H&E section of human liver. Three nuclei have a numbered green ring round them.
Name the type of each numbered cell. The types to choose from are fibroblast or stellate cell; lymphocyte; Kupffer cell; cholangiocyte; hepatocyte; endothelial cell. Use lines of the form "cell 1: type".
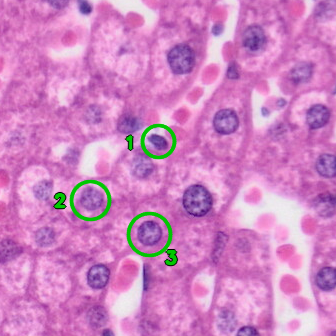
cell 1: lymphocyte
cell 2: hepatocyte
cell 3: hepatocyte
